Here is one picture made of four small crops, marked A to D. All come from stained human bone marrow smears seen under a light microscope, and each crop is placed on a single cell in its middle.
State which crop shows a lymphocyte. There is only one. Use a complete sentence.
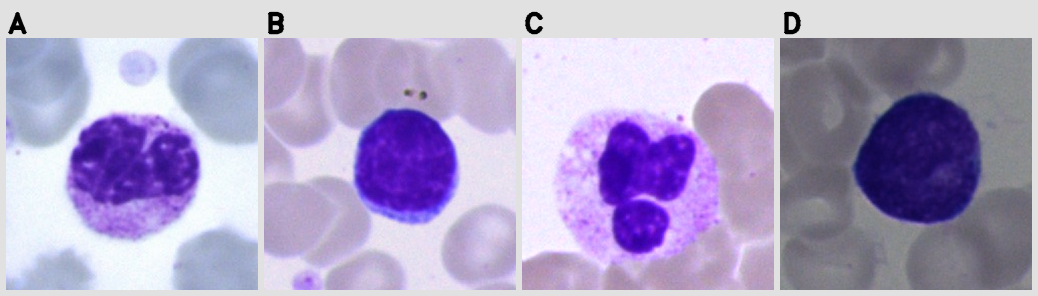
Look at crop B; that is the one with a lymphocyte in its center.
